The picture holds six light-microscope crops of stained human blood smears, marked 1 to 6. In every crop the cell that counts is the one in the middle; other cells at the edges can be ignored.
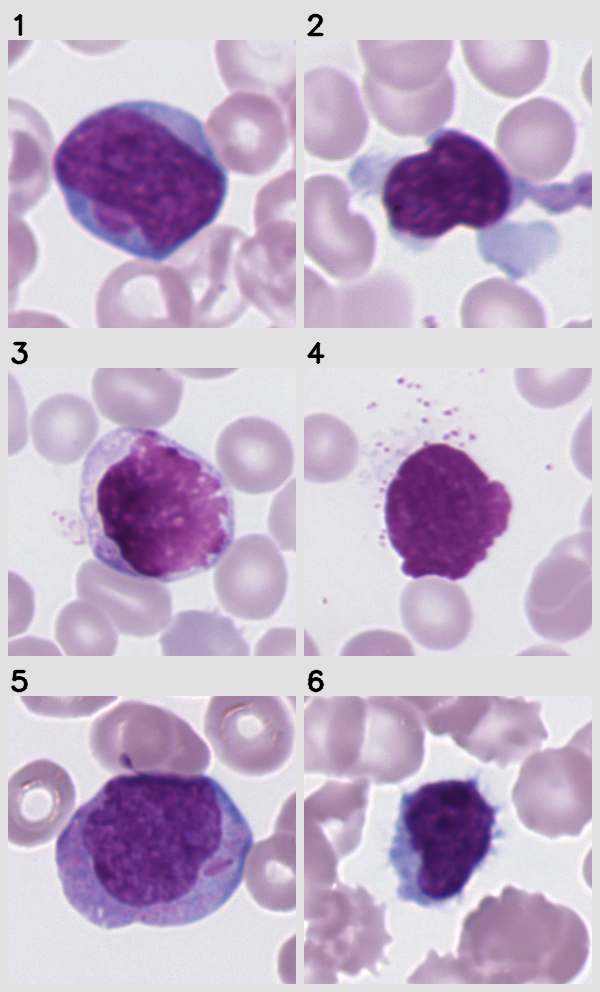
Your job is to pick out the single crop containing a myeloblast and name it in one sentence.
In this series, a myeloblast is shown by crop 1.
